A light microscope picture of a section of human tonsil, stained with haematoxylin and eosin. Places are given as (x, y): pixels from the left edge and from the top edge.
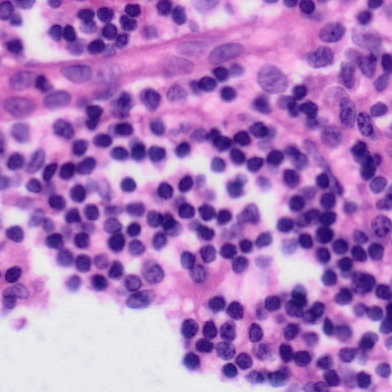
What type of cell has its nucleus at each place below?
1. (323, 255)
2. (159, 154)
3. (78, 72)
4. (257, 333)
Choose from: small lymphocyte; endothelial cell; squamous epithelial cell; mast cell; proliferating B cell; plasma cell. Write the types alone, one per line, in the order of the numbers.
small lymphocyte
small lymphocyte
endothelial cell
small lymphocyte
